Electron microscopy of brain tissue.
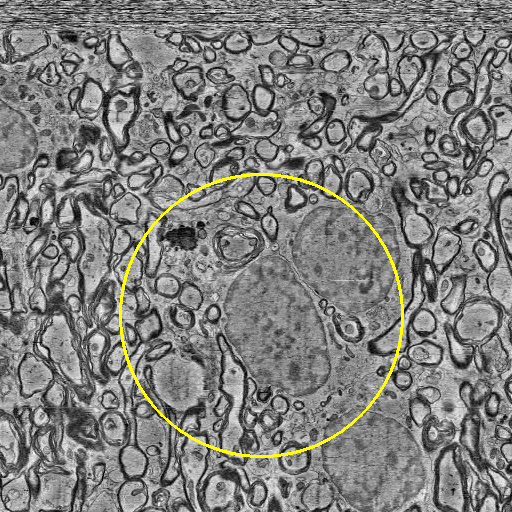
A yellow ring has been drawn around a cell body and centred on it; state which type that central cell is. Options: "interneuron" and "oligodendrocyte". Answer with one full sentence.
The cell at the middle of the yellow ring is an oligodendrocyte in this picture.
